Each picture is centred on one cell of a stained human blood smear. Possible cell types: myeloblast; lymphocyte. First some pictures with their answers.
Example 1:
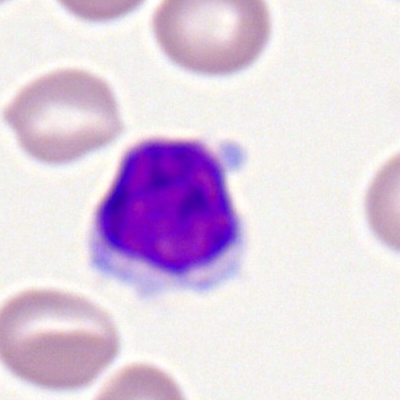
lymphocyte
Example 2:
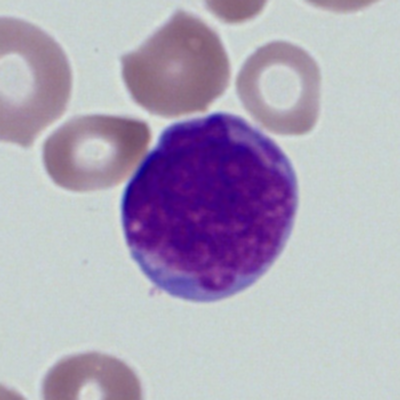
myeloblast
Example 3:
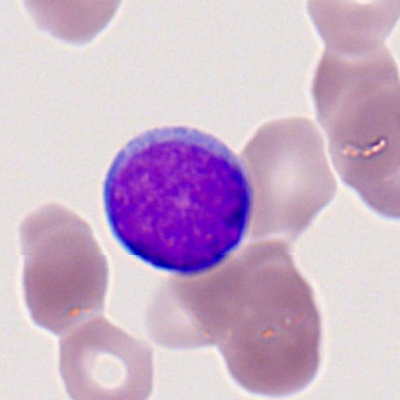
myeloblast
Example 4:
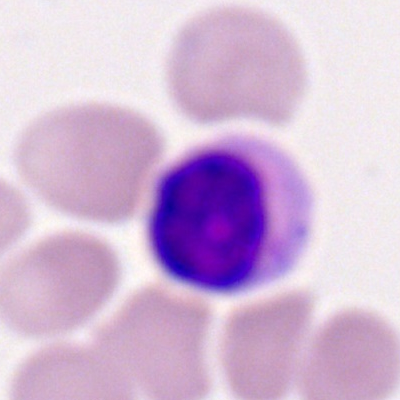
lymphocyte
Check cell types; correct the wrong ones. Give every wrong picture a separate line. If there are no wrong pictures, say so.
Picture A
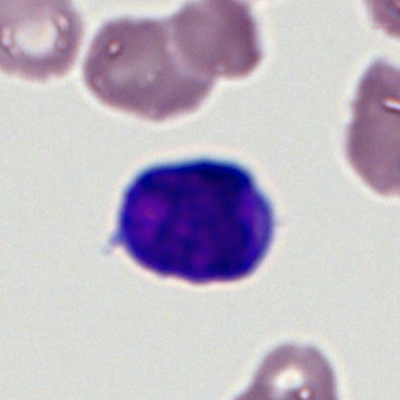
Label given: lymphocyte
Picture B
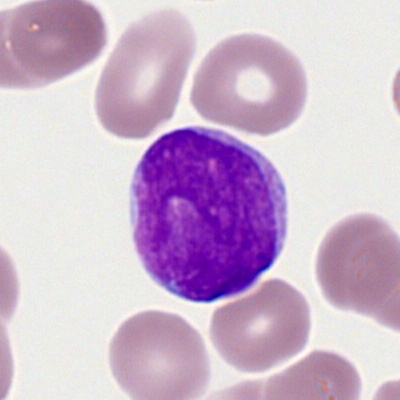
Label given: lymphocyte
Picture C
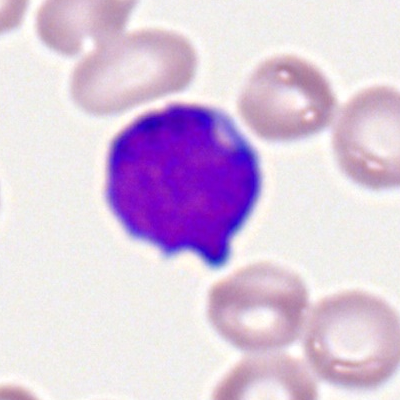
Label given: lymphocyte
B should be myeloblast, not lymphocyte
C should be myeloblast, not lymphocyte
